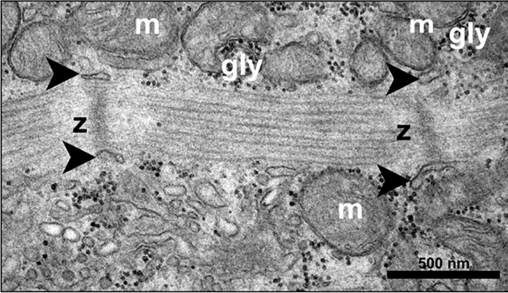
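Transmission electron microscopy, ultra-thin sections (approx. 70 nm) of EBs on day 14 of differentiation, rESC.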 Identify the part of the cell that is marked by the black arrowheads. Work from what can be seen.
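Arrowheads point to small membrane-bound sacs.
Hence: cisternae of sarcoplasmic reticulum.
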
